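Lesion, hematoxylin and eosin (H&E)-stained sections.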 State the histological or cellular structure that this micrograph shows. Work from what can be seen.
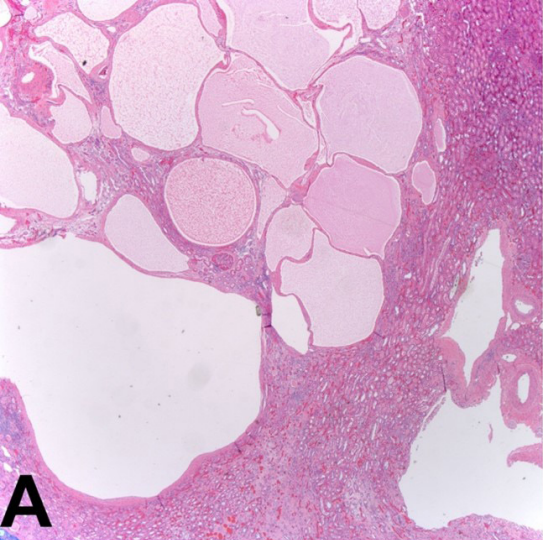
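Many round to polygonal spaces of widely different sizes. Spaces filled with pale pink homogeneous fluid. Thin fibrous septa between the spaces. On this evidence: cysts of various sizes.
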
